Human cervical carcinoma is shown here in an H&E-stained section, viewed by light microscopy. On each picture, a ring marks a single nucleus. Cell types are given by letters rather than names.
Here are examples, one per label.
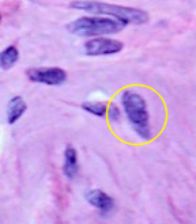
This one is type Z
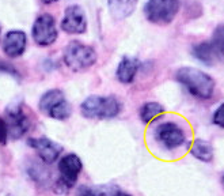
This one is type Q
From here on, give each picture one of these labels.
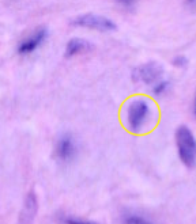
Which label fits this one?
type Z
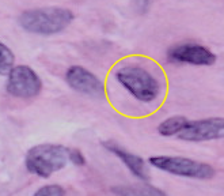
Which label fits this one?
type Z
